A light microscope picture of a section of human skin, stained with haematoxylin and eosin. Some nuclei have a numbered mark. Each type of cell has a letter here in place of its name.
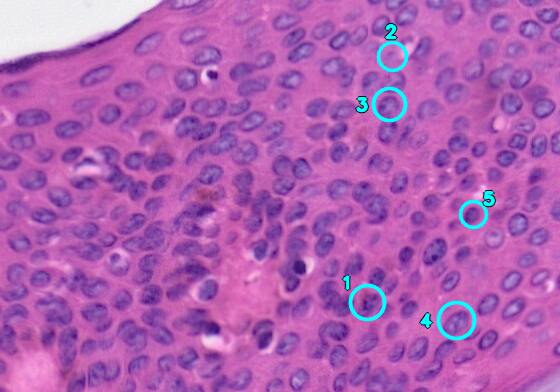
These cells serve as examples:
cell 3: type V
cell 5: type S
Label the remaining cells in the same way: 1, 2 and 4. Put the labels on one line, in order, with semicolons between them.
type S; type V; type V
